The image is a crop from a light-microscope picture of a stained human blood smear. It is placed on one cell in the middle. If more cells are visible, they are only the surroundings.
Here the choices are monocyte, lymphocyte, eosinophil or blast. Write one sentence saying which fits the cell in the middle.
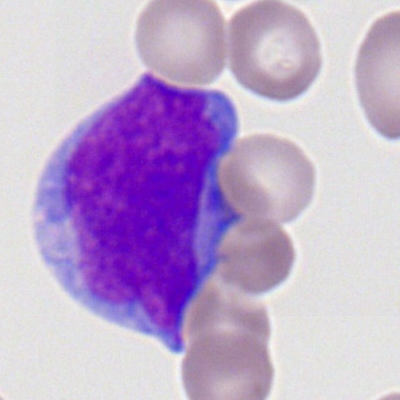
The cell at the heart of this crop is a blast.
